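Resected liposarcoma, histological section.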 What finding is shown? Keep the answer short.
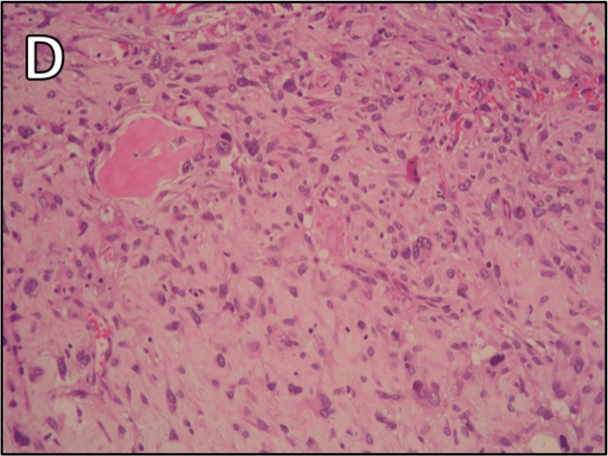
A: pronounced nuclear polymorphism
